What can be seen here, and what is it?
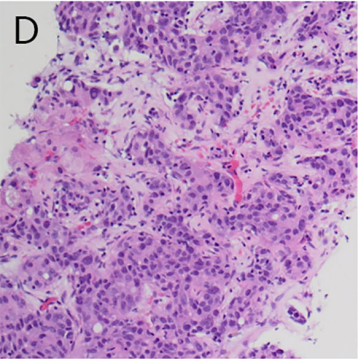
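This is a tumor made of epithelial cells growing in crowded nests and sheets, separated by thin strands of stroma. Some small clear spaces appear within the nests, and a pinker, less cellular area lies at the left edge. No normal organized tissue structure is retained in the crowded cell groups.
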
